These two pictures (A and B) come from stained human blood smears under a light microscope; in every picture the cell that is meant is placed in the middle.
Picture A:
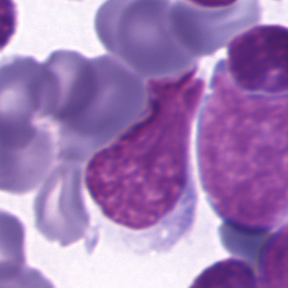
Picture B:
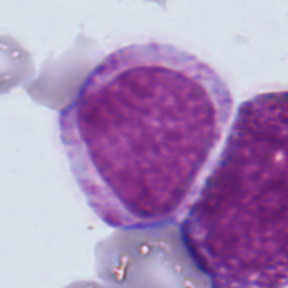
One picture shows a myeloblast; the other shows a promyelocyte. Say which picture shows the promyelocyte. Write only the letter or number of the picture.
B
